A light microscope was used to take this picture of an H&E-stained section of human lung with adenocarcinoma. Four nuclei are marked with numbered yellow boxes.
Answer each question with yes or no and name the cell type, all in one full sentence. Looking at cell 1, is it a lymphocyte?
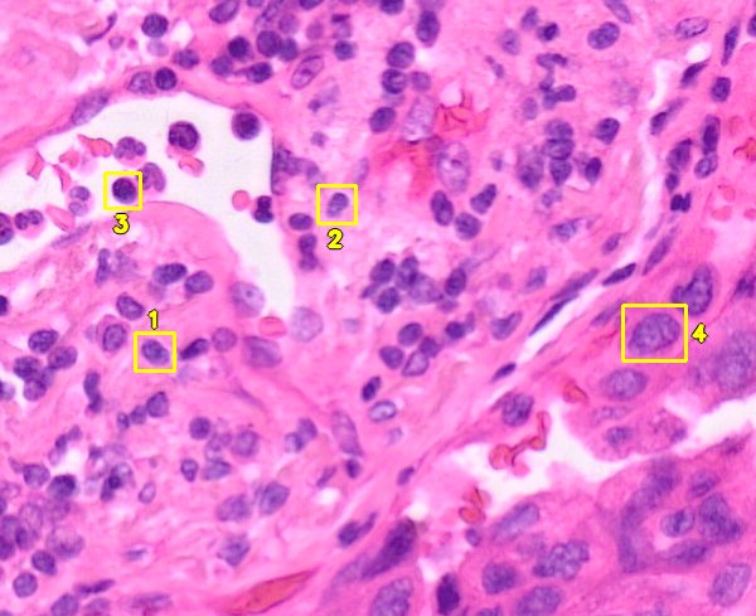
Yes, cell number 1 is identified here as a lymphocyte.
